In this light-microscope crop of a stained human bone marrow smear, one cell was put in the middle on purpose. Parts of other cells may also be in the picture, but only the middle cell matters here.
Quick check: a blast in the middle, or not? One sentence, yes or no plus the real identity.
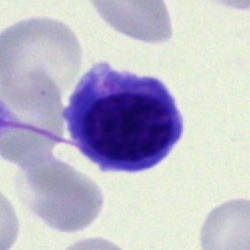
No, the central cell isn't a blast, but a normoblast.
